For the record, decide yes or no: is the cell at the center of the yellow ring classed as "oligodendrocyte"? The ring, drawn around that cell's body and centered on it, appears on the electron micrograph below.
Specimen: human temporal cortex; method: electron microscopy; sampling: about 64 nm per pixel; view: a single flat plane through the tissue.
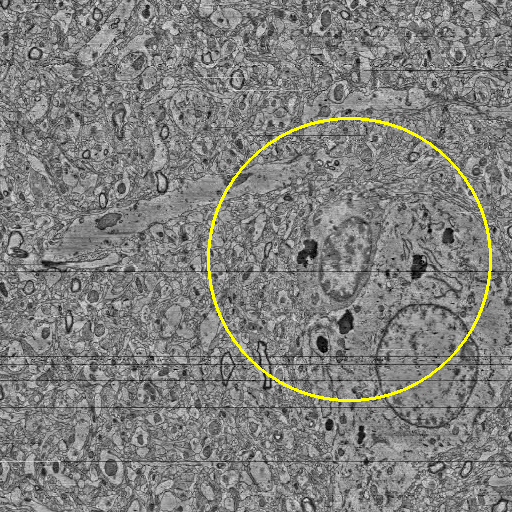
yes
